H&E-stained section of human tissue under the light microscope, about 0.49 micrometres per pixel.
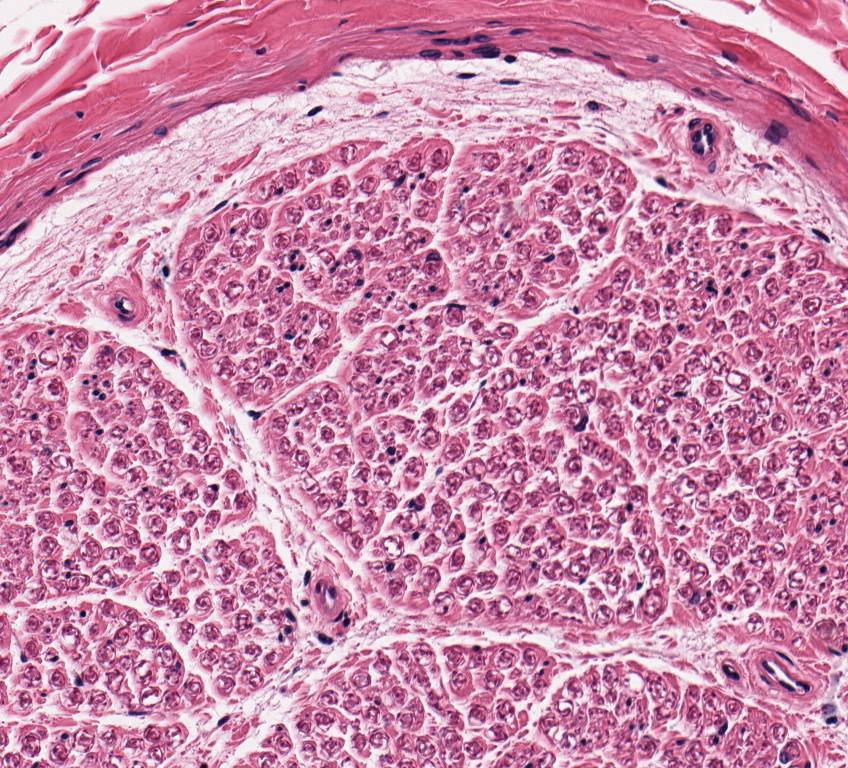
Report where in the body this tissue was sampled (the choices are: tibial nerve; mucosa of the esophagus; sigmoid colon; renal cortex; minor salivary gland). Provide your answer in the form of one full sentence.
The tissue shown was sampled from the tibial nerve.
